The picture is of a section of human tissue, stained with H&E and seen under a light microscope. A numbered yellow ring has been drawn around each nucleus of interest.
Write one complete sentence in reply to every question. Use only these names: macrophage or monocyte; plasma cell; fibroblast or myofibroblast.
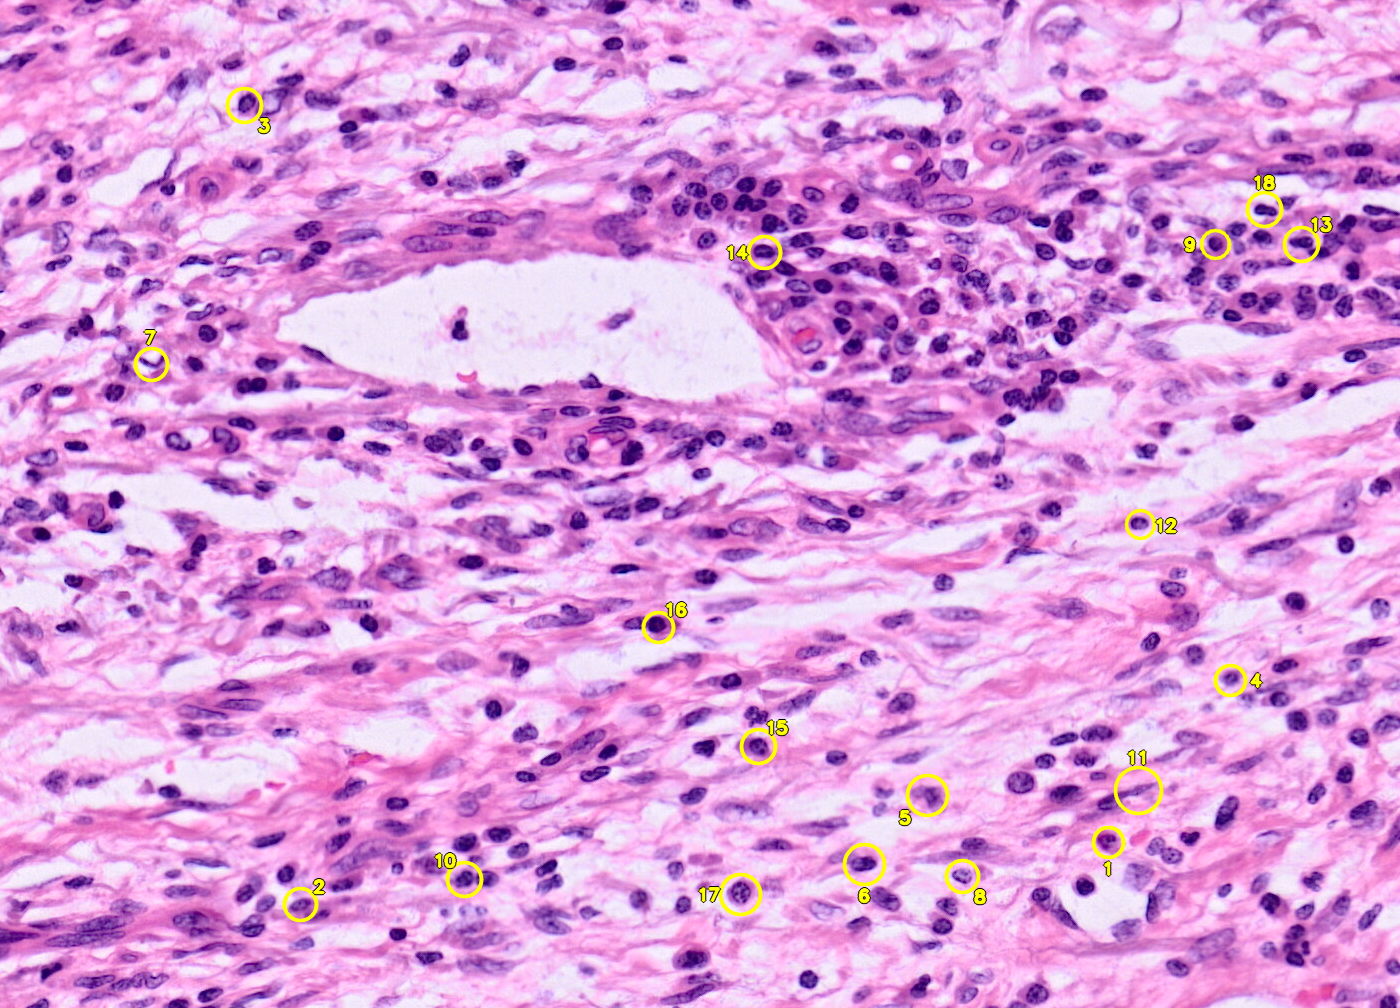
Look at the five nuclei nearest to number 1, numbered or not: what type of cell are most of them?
Of the five nuclei nearest to number 1, most belong to macrophages or monocytes.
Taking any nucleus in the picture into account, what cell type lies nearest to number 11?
The cell nearest to number 11 is a macrophage or monocyte.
